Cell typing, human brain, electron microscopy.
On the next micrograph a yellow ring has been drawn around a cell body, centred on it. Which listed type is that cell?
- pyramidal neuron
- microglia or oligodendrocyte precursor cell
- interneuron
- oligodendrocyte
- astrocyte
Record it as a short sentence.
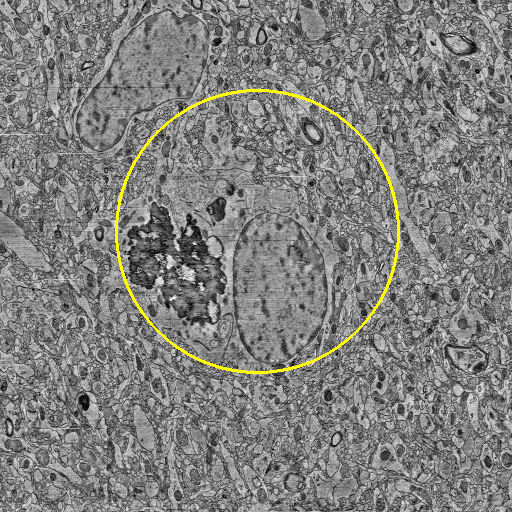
The cell body in the ring's centre belongs to an astrocyte.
